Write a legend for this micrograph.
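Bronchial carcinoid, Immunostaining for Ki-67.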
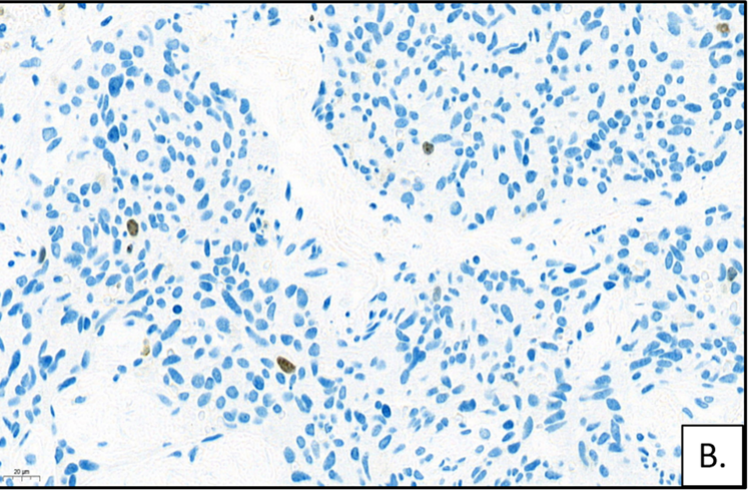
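Tumour cells in nests separated by pale, sparsely cellular stroma. Nuclei are round to oval or slightly elongated, fairly uniform, and almost all stained only by the blue counterstain. Cytoplasm is unstained and cell borders are indistinct.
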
